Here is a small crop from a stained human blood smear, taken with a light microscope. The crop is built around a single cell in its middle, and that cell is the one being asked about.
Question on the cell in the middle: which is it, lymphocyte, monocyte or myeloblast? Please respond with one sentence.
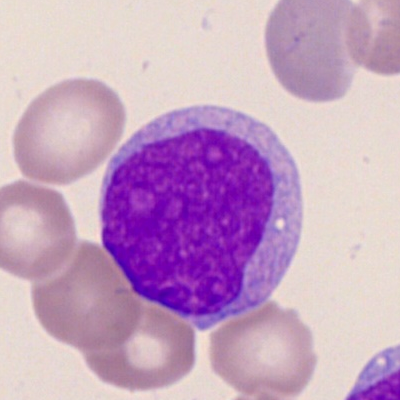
In this smear crop, the middle cell is a myeloblast.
